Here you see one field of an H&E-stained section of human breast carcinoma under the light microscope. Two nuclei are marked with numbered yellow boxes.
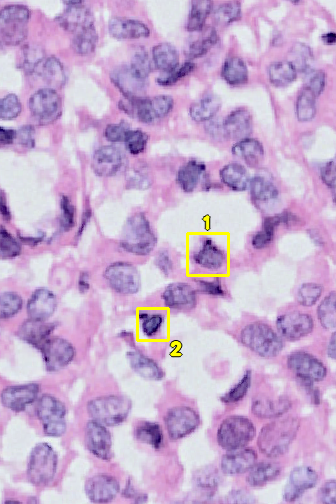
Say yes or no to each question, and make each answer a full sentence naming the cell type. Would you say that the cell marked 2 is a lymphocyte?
Yes, the cell referred to as number 2 is a lymphocyte.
